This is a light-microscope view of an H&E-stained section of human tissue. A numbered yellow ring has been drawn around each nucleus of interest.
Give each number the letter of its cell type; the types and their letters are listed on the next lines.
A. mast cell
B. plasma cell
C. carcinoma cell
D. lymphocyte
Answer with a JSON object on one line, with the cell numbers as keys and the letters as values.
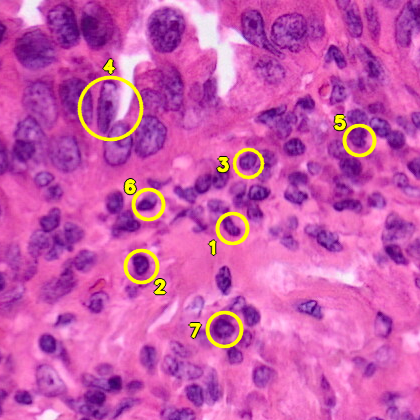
{"1": "D", "2": "B", "3": "D", "4": "C", "5": "B", "6": "D", "7": "B"}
